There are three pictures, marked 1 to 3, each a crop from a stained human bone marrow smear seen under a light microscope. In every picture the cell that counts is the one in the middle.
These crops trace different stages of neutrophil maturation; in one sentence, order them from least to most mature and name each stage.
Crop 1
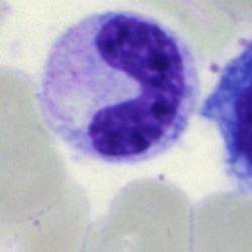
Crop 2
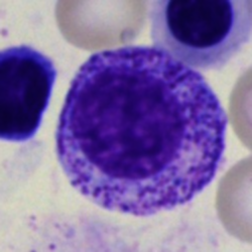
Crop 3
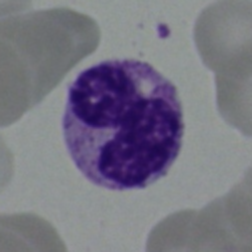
The crops, when placed from least to most mature, read crop 2 (a myelocyte), crop 1 (a band neutrophil) and crop 3 (a segmented neutrophil).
